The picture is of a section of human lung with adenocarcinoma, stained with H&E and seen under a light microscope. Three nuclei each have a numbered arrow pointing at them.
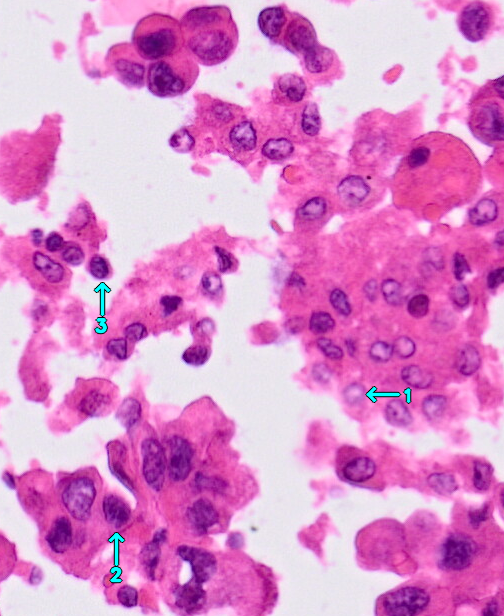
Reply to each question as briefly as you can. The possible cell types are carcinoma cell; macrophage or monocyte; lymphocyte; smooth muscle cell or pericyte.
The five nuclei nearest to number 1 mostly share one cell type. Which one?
macrophage or monocyte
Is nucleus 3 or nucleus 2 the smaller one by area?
3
